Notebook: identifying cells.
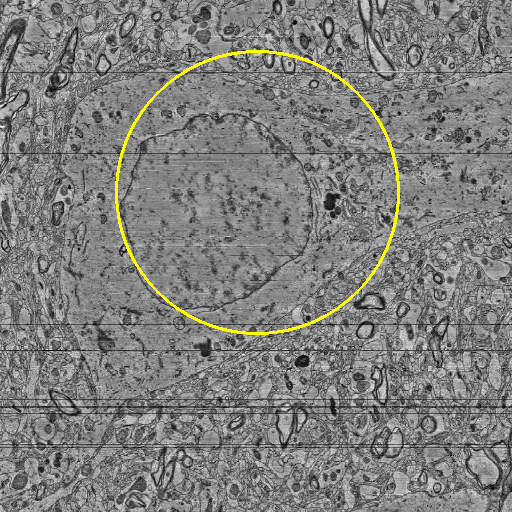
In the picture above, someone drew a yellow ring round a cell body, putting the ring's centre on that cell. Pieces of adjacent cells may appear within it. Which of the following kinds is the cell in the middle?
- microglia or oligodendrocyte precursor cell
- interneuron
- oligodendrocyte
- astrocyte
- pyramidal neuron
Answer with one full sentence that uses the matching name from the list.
In this picture, the yellow ring is centred on the body of a pyramidal neuron.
